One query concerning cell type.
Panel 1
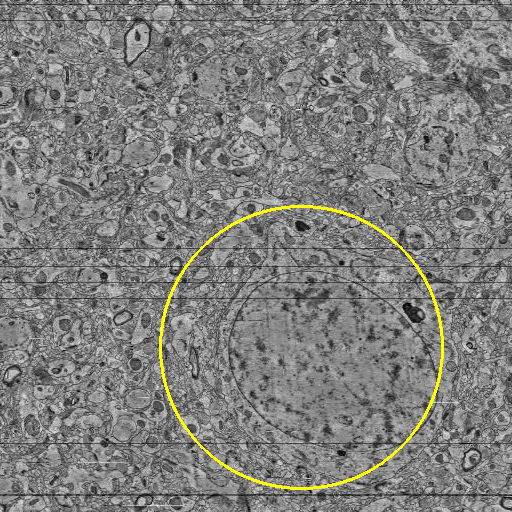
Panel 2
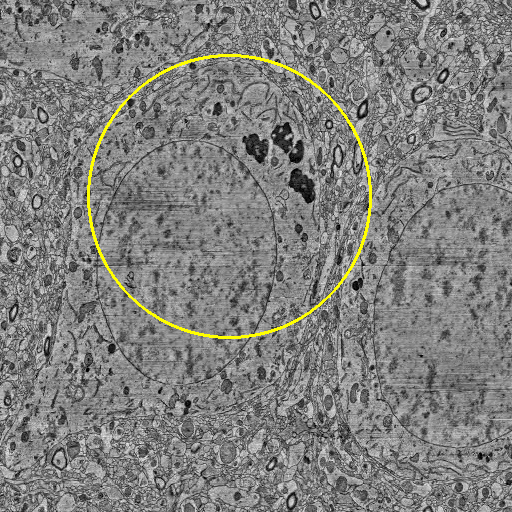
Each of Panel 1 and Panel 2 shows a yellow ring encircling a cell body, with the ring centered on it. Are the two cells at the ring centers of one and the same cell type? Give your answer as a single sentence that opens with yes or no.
Yes, the cell centered in Panel 1 and the one in Panel 2 share a type.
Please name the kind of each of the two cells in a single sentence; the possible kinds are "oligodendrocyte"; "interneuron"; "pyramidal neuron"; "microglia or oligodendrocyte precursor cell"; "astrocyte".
Both cells are the same kind, each one being a pyramidal neuron.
